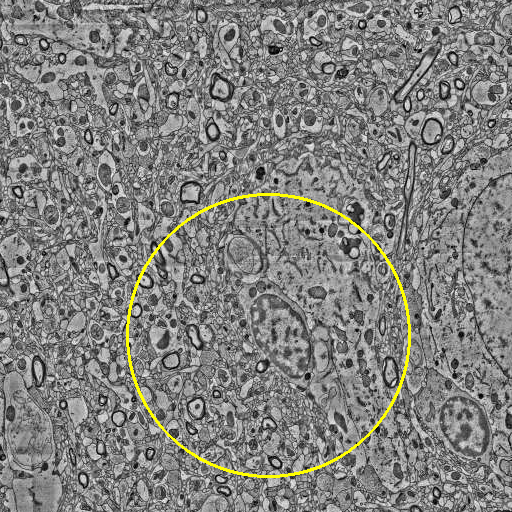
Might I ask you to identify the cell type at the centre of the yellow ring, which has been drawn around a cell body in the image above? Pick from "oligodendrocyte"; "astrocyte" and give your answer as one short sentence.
The centre of the ring falls on an oligodendrocyte.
